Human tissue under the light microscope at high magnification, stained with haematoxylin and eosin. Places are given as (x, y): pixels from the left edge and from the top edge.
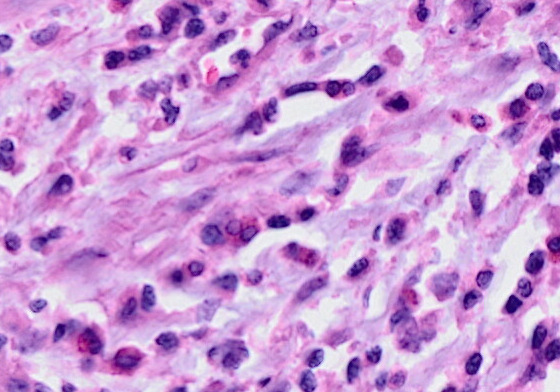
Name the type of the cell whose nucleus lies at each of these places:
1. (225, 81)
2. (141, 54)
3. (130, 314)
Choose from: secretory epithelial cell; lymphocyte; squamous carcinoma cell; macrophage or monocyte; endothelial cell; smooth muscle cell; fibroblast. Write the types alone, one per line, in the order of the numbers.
endothelial cell
lymphocyte
macrophage or monocyte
